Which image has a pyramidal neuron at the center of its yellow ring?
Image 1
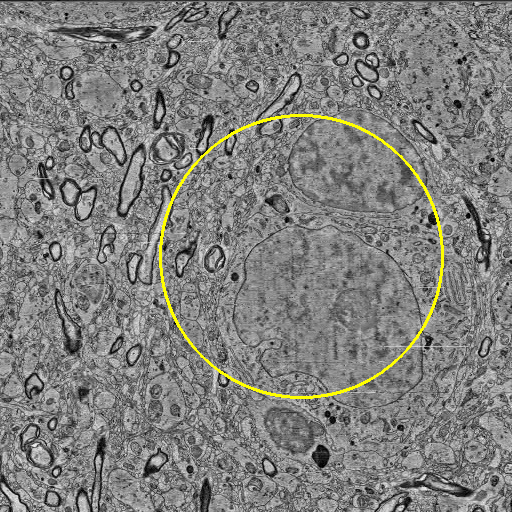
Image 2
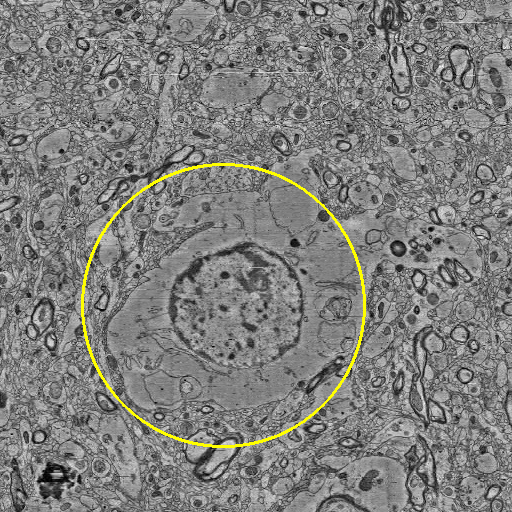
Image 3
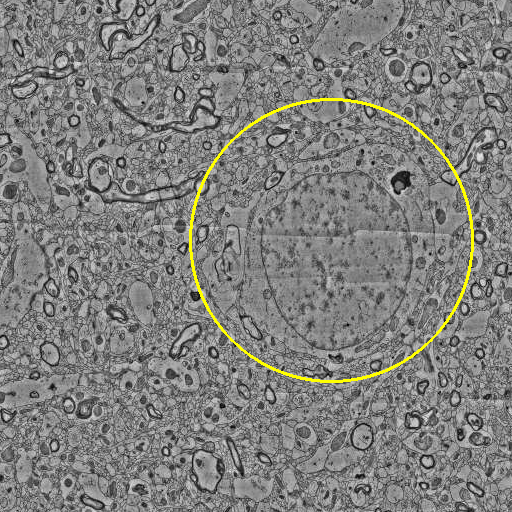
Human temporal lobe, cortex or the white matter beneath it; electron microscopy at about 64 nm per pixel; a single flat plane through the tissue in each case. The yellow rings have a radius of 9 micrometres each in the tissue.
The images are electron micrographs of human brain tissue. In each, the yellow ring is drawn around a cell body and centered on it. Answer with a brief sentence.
It is at the center of the ring in Image 3.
